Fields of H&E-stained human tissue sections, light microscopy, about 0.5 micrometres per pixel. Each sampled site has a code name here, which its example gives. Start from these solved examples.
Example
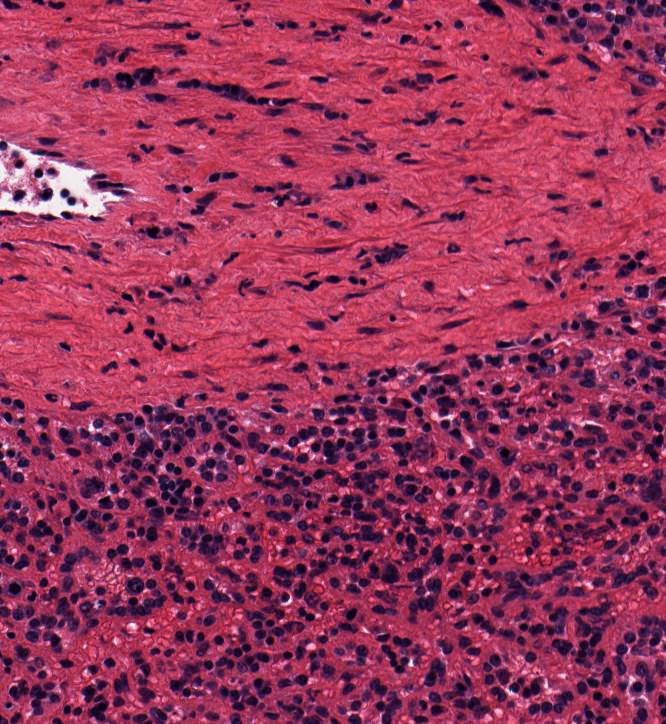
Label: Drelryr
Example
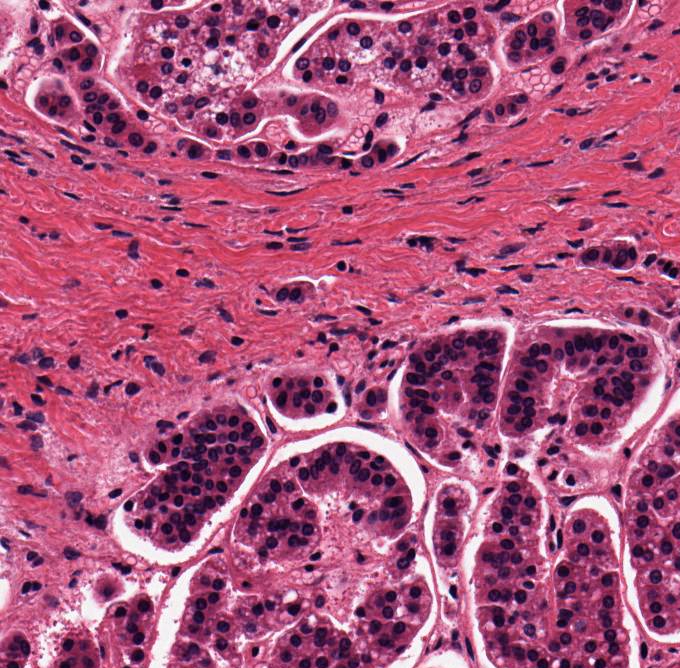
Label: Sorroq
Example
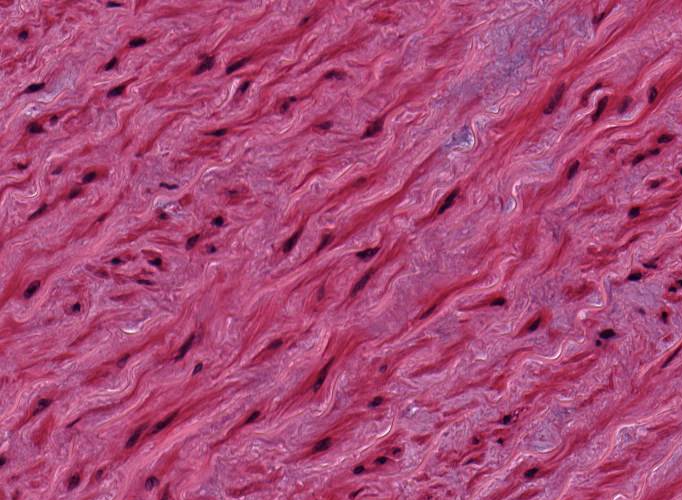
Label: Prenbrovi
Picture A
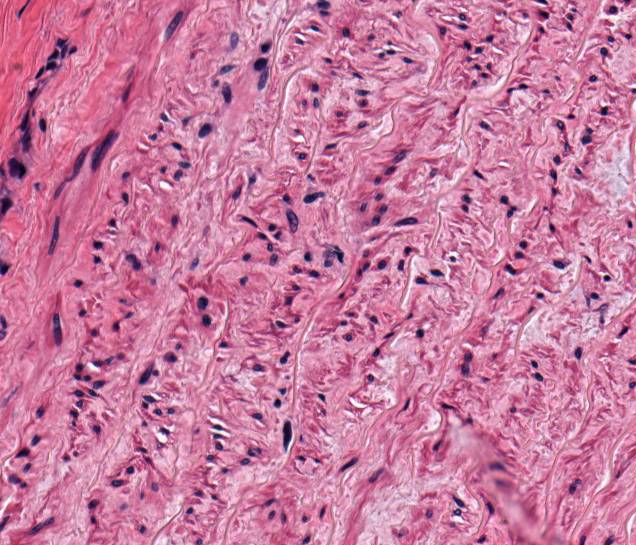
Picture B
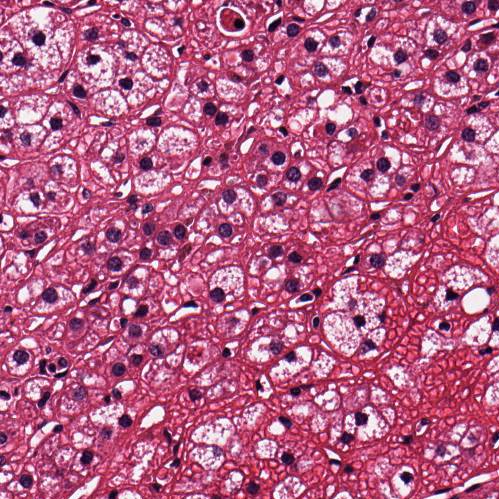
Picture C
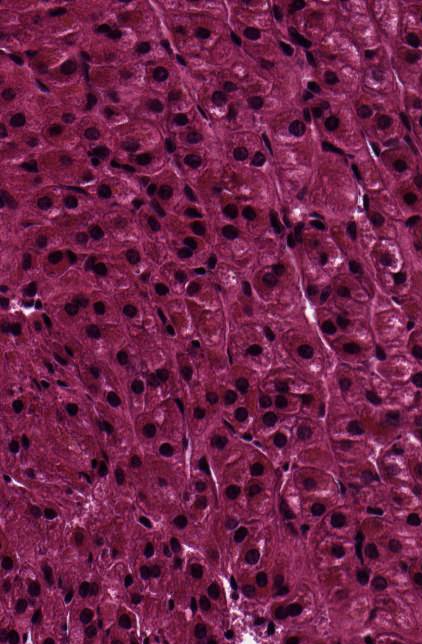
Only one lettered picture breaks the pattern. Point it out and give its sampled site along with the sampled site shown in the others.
Different: A, Prenbrovi. Others: Sorroq.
